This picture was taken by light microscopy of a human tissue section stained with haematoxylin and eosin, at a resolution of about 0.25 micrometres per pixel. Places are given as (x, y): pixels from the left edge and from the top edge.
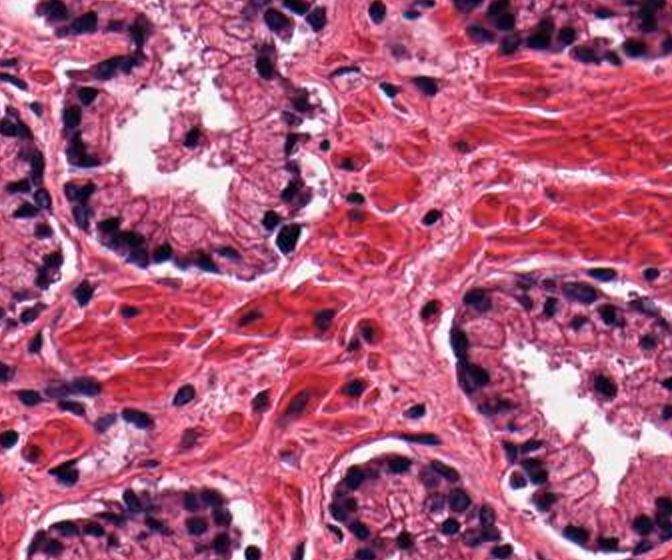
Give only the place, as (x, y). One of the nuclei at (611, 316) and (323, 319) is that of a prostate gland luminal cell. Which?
(611, 316)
